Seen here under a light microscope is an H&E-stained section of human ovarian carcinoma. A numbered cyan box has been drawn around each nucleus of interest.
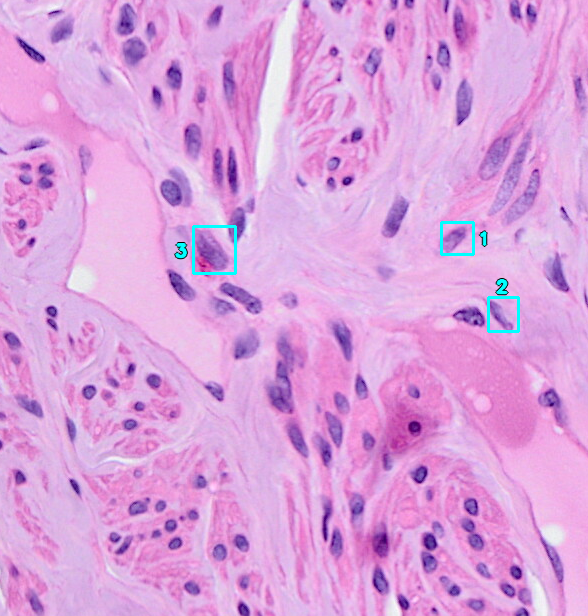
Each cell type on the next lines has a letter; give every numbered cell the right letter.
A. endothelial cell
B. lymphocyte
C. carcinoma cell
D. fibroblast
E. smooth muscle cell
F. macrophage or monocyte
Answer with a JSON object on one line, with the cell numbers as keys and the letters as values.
{"1": "E", "2": "D", "3": "A"}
